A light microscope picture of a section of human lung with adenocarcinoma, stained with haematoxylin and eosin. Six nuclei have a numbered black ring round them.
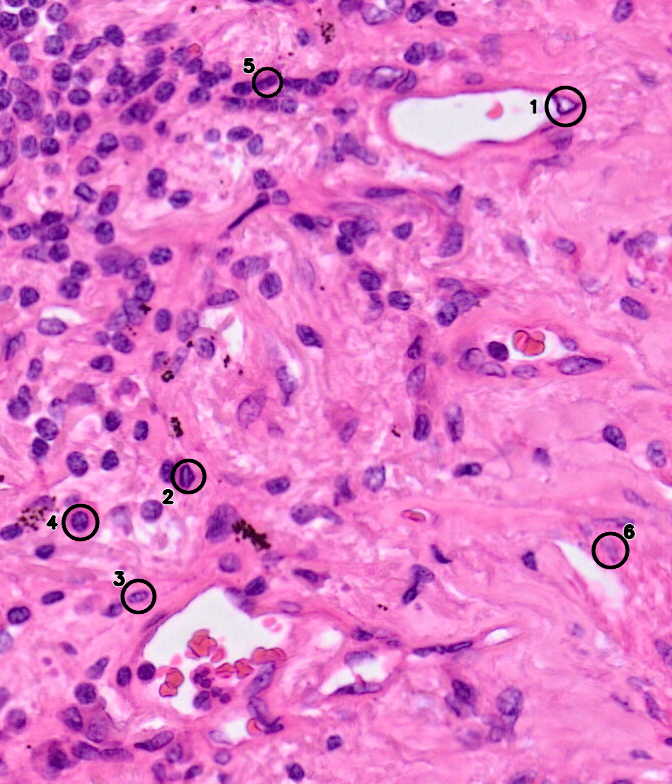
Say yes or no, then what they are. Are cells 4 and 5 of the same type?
No, cell 4 is a mast cell and cell 5 is a plasma cell.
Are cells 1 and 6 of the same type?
No, cell 1 is an endothelial cell and cell 6 is a smooth muscle cell or pericyte.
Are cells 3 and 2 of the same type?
No, cell 3 is a mast cell and cell 2 is a plasma cell.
